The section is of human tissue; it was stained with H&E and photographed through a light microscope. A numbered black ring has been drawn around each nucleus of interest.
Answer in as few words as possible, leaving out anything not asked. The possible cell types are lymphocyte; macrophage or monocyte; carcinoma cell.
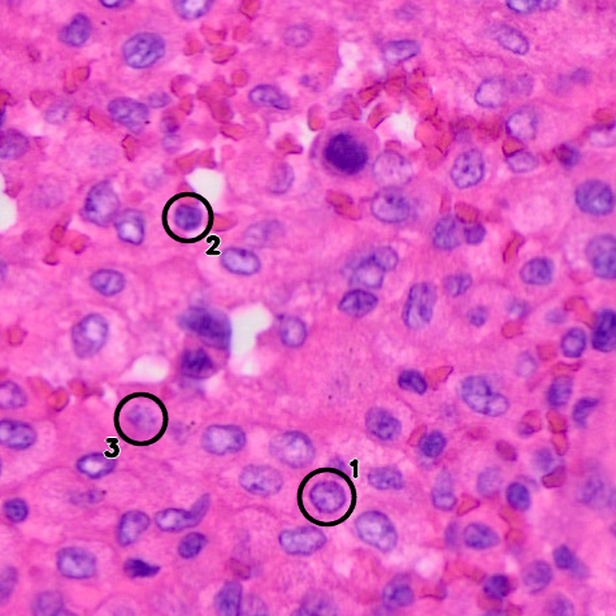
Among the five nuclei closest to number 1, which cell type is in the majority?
macrophage or monocyte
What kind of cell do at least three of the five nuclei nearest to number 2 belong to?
macrophage or monocyte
